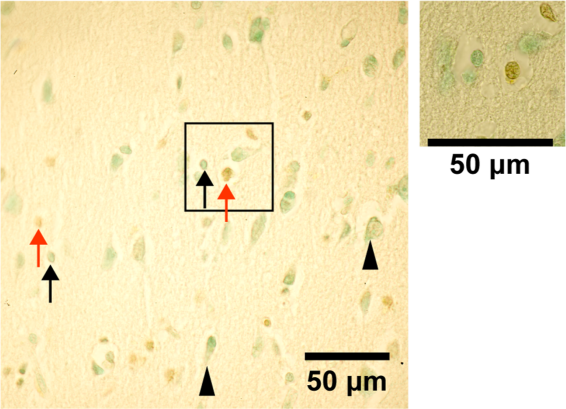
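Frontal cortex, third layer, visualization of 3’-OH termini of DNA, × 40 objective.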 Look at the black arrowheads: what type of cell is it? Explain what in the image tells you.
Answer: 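The arrowheads point to elongated, pale green cell bodies larger than the nearby small round nuclei. So: neurons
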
